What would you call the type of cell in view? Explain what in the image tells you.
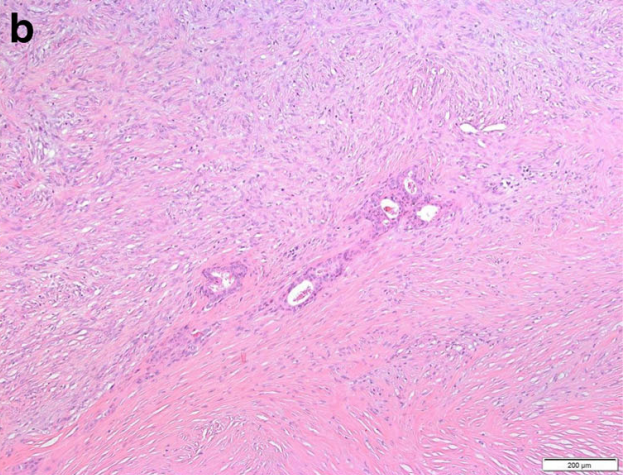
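Most cells are elongated with thin, slender nuclei. The elongated cells run in streams and fascicles across the field. The answer: spindle cells.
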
